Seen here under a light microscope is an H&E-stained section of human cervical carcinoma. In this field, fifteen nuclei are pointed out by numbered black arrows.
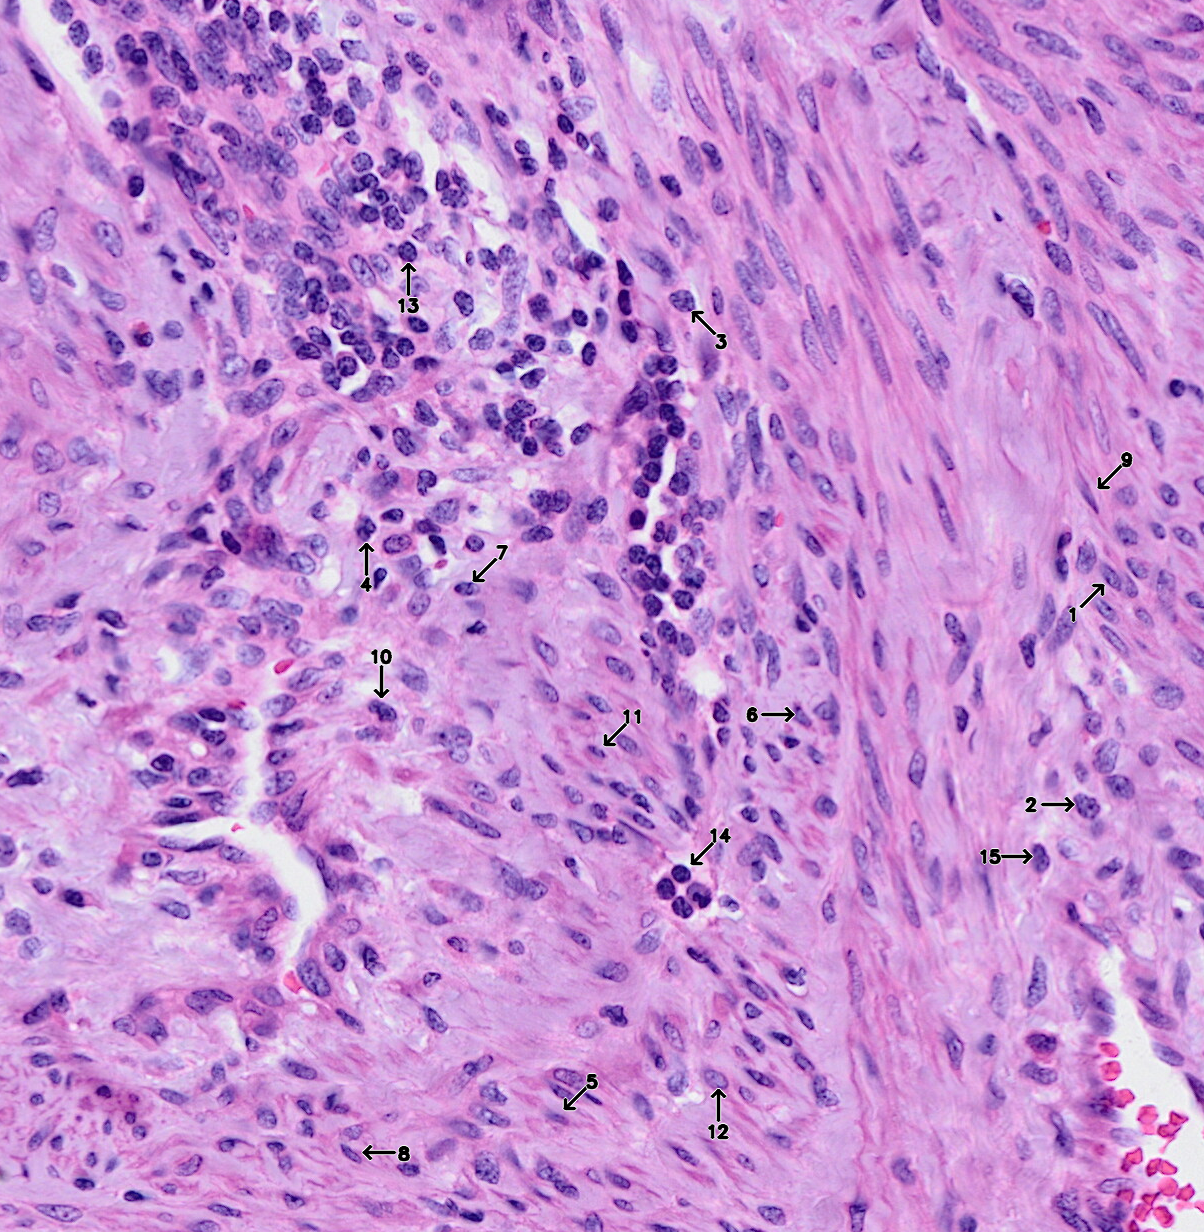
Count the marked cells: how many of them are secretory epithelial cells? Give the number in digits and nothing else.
0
